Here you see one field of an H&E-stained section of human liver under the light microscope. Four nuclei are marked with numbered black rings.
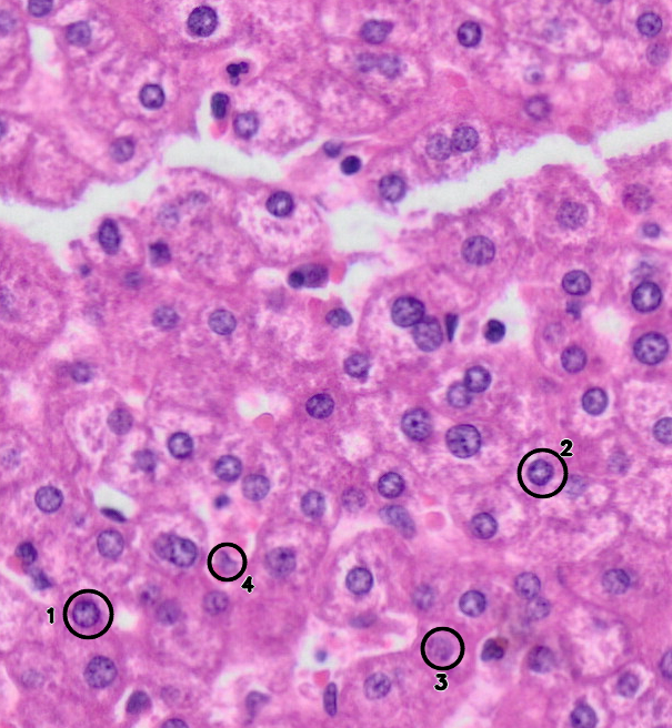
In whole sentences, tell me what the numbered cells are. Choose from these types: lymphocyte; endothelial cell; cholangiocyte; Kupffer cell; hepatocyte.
Cell 1 is a hepatocyte, cell 2 is a hepatocyte, cell 3 is a hepatocyte and cell 4 is a Kupffer cell.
